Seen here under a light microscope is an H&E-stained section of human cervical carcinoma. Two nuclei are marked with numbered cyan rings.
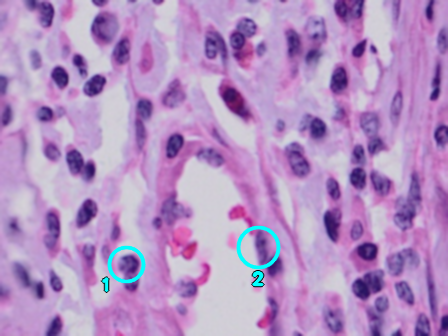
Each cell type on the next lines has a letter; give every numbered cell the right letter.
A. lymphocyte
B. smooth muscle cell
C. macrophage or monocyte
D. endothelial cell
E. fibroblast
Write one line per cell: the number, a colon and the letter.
1: A
2: D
